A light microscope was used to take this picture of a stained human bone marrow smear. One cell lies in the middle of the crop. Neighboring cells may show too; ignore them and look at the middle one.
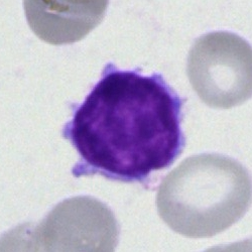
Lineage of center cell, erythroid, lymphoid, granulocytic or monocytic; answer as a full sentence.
The cell held in the center of the crop belongs to the lymphoid lineage.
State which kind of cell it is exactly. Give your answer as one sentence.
Looking at the middle of the crop, the cell there is a lymphocyte.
